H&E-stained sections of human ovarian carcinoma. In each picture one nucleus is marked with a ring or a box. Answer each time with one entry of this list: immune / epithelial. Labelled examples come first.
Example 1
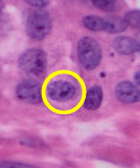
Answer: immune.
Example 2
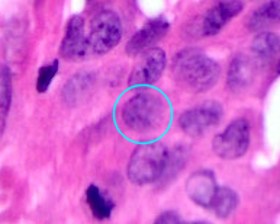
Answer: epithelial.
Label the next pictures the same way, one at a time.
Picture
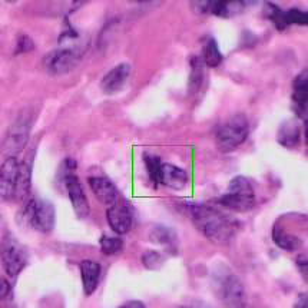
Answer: immune.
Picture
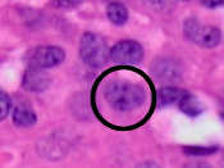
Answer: epithelial.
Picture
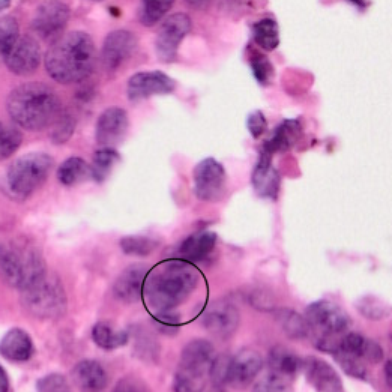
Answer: epithelial.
